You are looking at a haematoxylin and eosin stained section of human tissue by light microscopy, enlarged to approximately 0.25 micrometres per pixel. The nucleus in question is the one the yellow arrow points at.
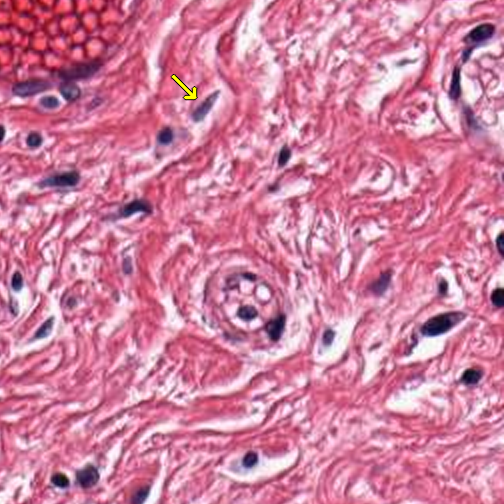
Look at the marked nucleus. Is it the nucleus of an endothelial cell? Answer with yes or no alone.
no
